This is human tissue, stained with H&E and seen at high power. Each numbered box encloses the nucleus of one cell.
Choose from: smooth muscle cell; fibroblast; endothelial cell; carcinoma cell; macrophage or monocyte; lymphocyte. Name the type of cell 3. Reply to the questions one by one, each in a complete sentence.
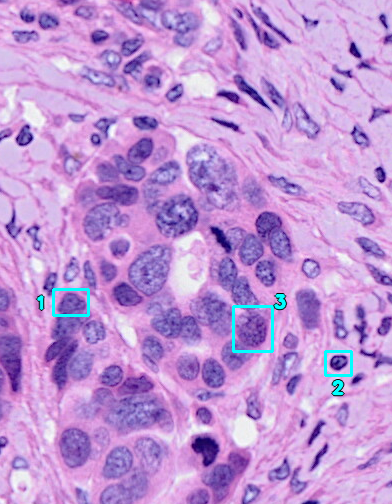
The mark numbered 3 indicates the nucleus of a carcinoma cell.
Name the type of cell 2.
The expected answer is that cell 2 is a lymphocyte.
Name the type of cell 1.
Within this field of view, the cell labelled 1 is a carcinoma cell.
